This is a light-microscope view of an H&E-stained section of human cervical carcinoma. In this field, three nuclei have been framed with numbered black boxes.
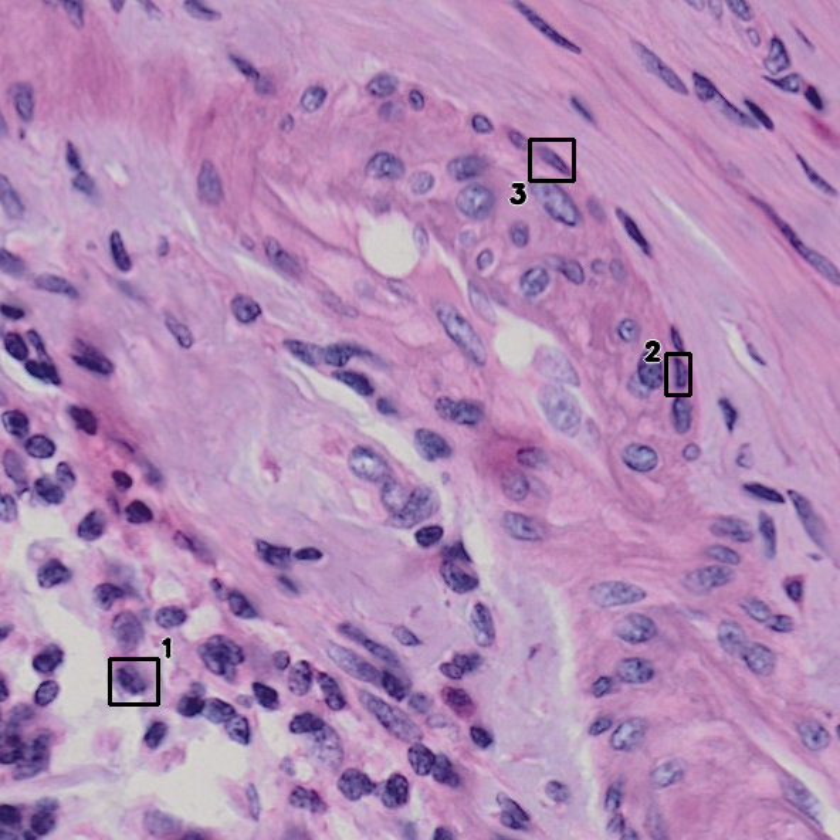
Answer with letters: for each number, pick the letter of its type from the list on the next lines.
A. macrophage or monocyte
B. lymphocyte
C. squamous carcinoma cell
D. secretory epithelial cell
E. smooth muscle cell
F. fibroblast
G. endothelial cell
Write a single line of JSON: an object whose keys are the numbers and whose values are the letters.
{"1": "B", "2": "E", "3": "E"}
